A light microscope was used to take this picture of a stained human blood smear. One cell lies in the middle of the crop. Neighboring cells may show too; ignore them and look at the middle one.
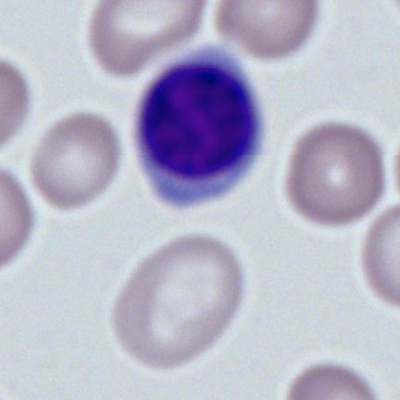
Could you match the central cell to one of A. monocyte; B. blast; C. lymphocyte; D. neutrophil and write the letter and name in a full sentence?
Option C, which names the central cell as a lymphocyte, is correct.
